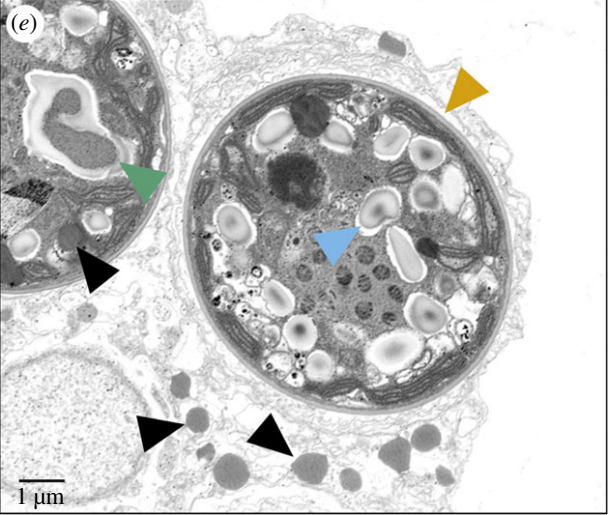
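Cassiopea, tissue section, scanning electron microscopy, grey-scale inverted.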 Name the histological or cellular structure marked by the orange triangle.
Symbiosomes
